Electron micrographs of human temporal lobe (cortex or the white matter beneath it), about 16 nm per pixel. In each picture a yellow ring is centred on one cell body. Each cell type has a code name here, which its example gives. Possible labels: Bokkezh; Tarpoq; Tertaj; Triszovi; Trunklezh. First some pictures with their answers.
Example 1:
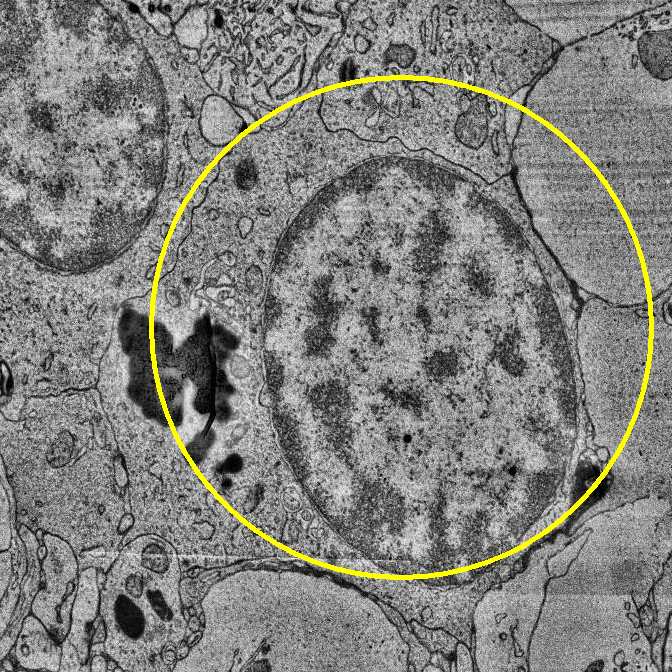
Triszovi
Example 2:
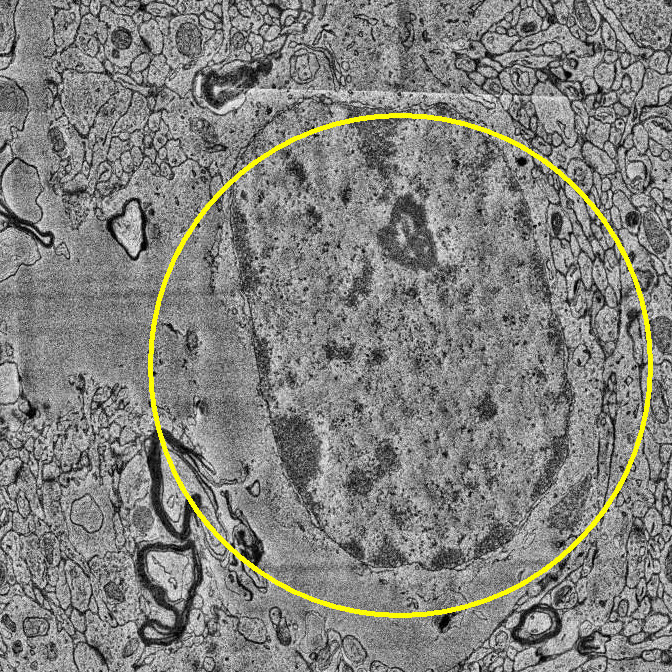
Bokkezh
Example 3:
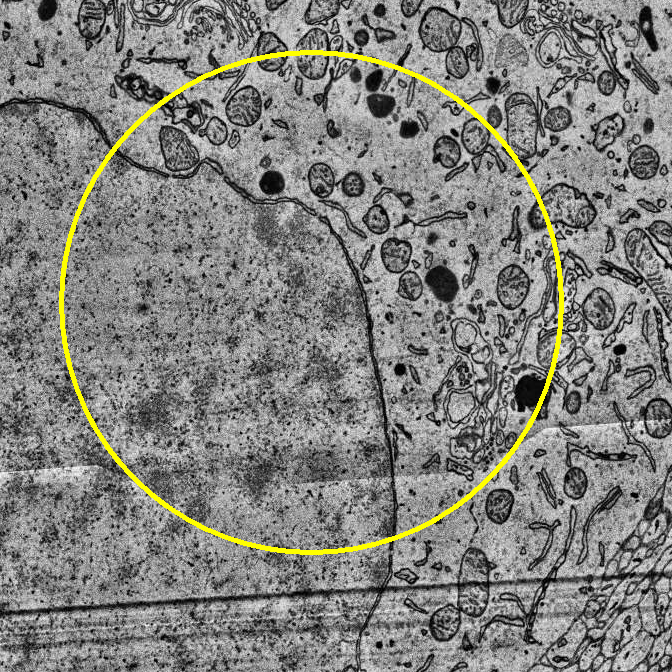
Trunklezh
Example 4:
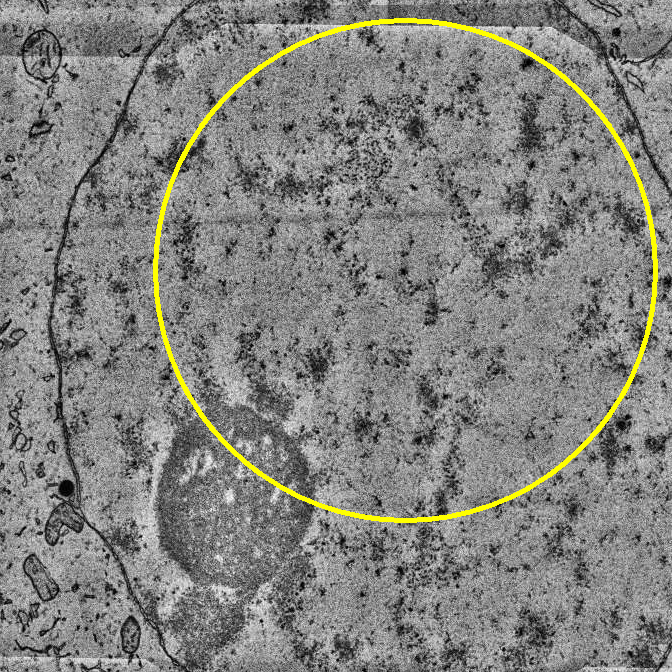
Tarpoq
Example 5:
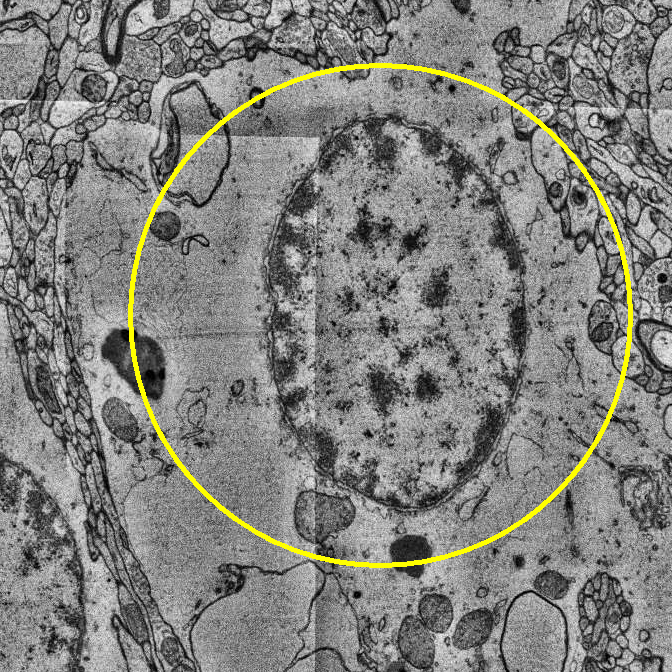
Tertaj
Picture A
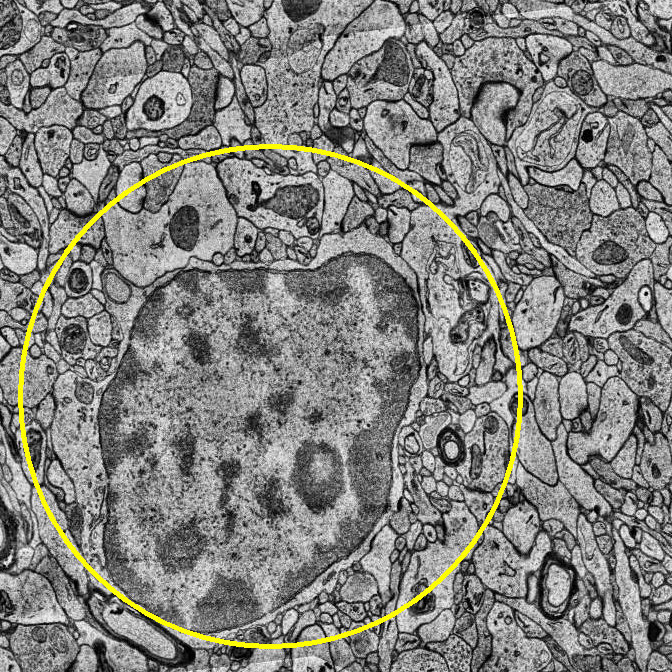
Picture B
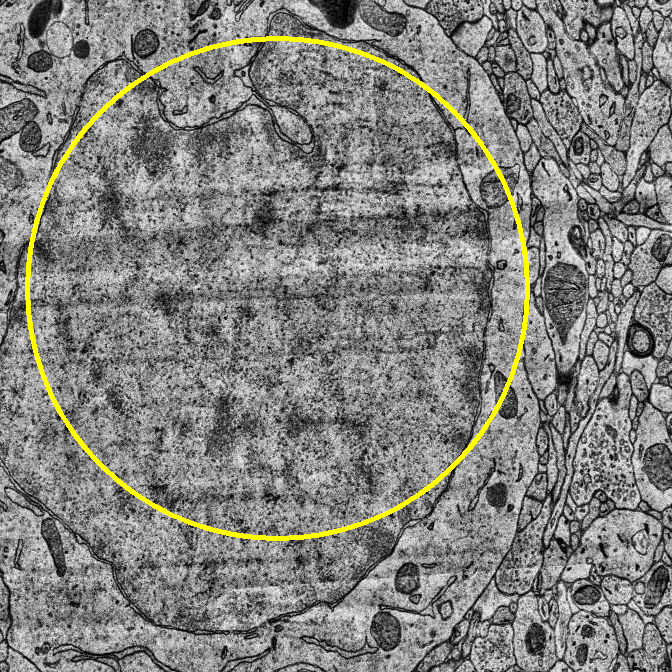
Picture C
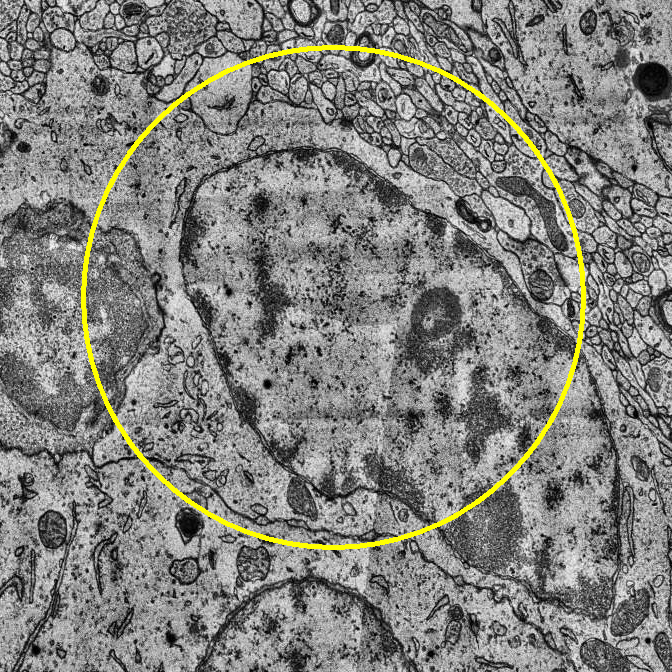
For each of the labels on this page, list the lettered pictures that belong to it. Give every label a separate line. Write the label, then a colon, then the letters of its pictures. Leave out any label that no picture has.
Bokkezh: A, C
Trunklezh: B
